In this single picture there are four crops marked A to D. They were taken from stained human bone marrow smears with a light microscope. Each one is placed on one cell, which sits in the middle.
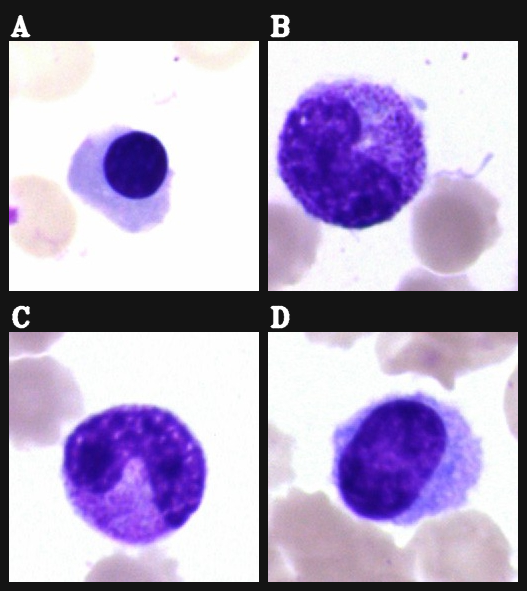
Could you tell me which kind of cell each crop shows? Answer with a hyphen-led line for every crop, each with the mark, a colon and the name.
- A: erythroblast
- B: metamyelocyte
- C: band neutrophil
- D: hairy cell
